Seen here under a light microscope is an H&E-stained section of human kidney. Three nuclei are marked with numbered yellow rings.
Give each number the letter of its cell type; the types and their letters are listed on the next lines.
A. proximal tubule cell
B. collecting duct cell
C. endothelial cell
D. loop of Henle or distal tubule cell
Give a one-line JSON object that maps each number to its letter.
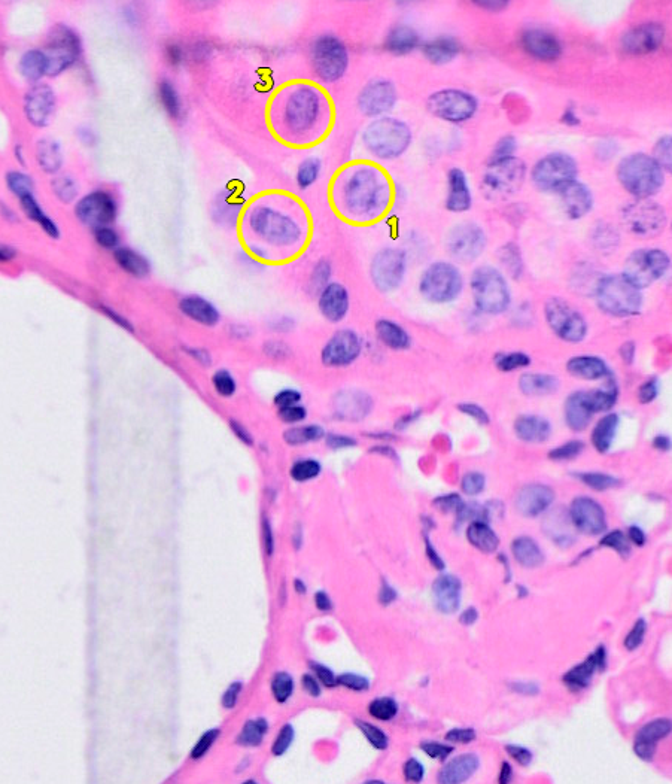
{"1": "B", "2": "B", "3": "A"}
